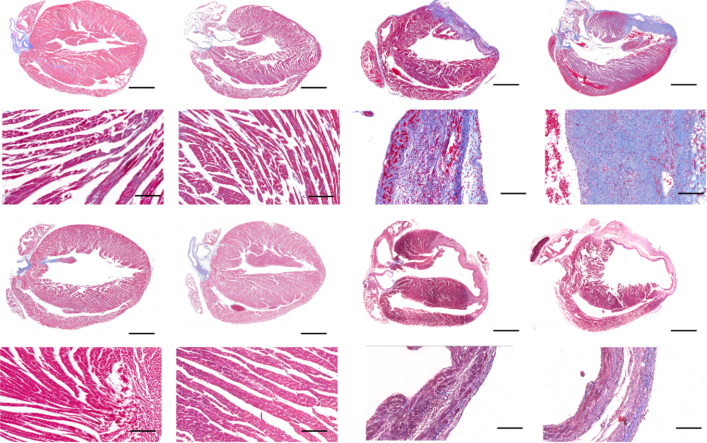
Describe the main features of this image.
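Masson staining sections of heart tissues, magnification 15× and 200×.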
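In several sections part of the wall is markedly thinned and takes up blue stain, while other sections show a uniformly thick red wall. At high power some fields show closely packed, elongated red muscle fibres running in parallel bundles. Other fields show a loose blue-staining matrix with scattered red fragments in place of orderly fibres.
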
